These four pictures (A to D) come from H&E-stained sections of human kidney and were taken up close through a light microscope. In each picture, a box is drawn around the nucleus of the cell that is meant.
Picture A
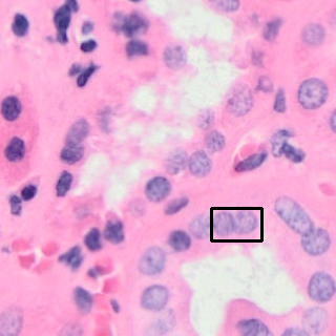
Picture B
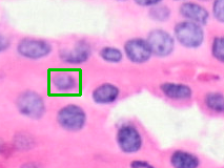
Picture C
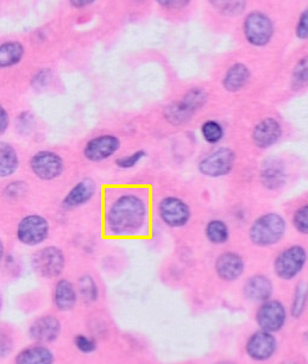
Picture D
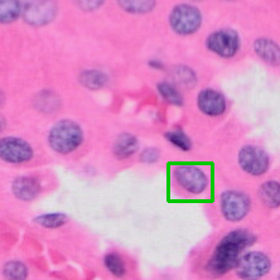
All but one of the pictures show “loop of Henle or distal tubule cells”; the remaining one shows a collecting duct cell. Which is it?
A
